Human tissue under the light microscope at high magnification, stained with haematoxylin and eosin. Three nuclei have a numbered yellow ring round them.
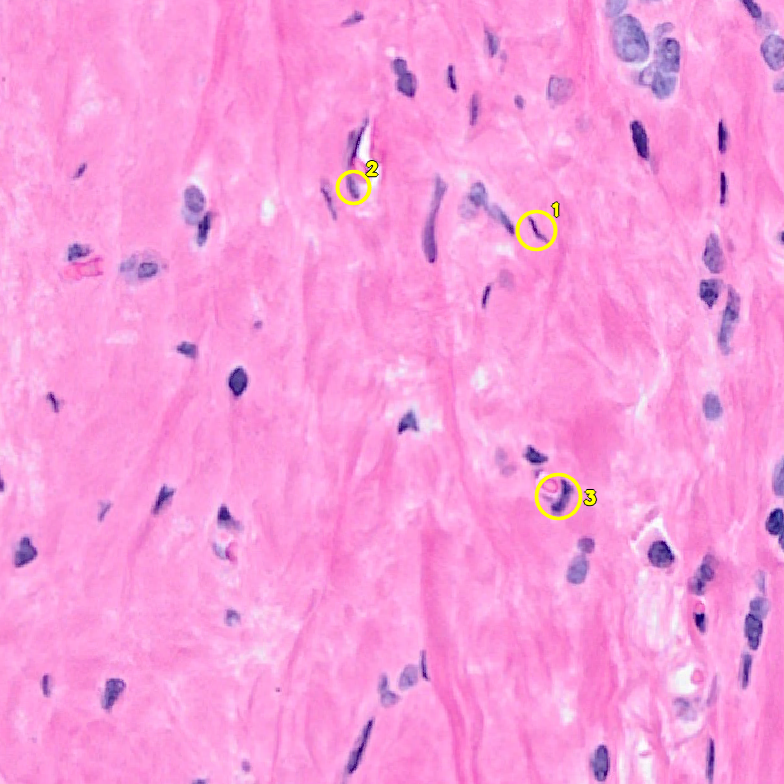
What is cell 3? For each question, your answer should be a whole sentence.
Among the marked cells, number 3 is an endothelial cell.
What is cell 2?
Marked with the number 2, this cell is an endothelial cell.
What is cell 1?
The cell to which the number 1 is assigned is a fibroblast.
